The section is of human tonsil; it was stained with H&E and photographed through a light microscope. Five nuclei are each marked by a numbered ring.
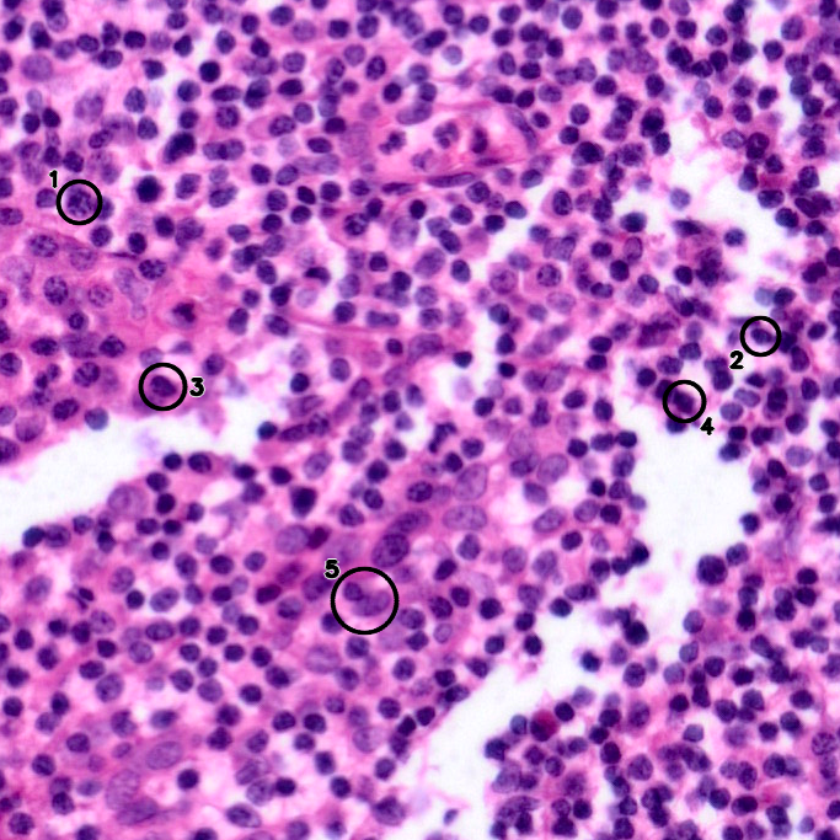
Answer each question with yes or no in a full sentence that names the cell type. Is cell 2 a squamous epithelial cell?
No, the cell carrying number 2 is a small lymphocyte rather than a squamous epithelial cell.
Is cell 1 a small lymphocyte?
No, the nucleus numbered 1 belongs to a plasma cell, not a small lymphocyte.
